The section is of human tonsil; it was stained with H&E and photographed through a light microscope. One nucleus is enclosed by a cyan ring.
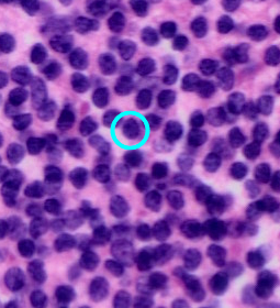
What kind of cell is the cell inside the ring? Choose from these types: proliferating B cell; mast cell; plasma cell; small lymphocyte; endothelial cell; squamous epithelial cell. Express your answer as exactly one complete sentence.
Microscopically, the cell inside the ring is categorized as a small lymphocyte.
